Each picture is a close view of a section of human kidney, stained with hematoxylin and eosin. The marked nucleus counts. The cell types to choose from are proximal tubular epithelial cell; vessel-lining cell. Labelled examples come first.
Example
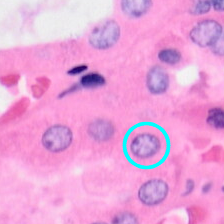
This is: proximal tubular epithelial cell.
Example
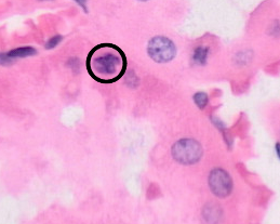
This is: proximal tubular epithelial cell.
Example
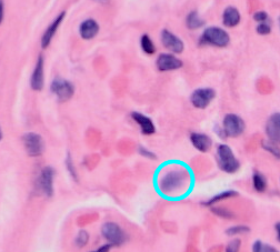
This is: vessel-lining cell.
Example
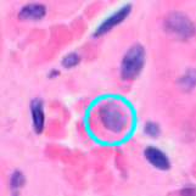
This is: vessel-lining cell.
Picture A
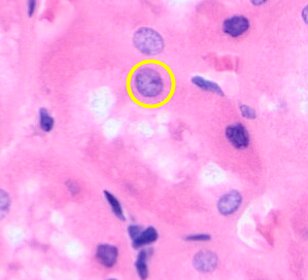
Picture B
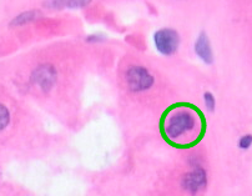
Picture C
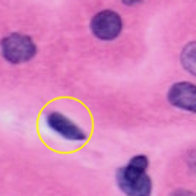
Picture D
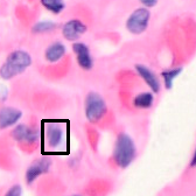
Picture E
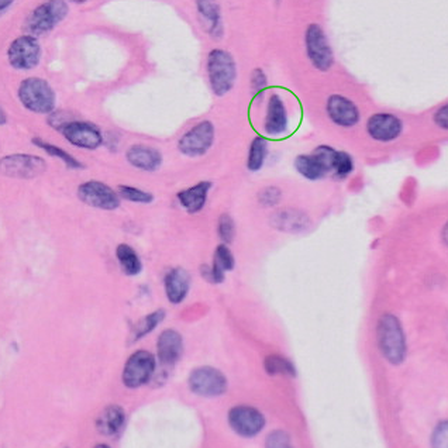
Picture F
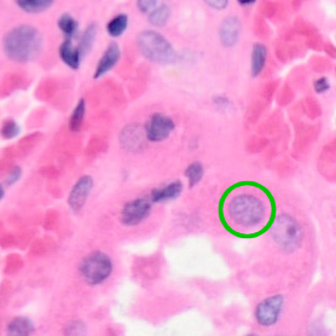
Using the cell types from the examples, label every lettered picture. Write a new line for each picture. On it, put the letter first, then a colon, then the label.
A: proximal tubular epithelial cell.
B: proximal tubular epithelial cell.
C: vessel-lining cell.
D: vessel-lining cell.
E: vessel-lining cell.
F: proximal tubular epithelial cell.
